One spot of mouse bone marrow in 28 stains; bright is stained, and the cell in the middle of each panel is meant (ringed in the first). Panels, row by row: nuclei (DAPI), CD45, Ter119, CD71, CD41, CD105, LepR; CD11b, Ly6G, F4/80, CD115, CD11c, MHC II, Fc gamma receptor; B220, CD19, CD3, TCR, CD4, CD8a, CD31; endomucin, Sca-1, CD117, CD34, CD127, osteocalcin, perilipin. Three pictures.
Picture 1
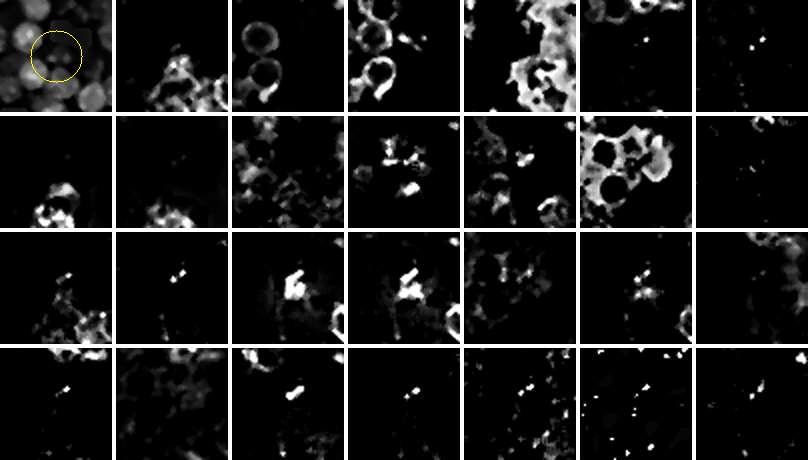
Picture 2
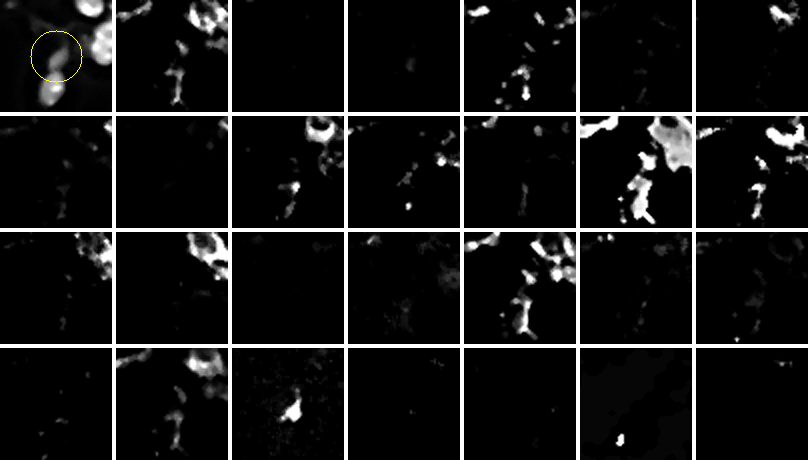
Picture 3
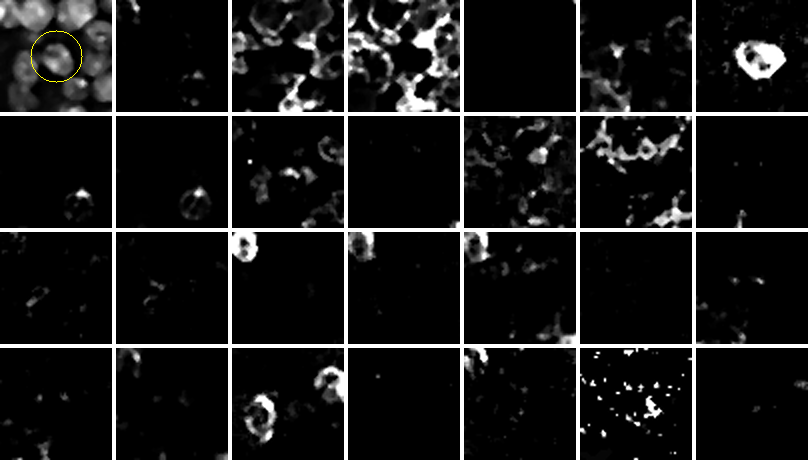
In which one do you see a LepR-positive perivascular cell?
In picture 3.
